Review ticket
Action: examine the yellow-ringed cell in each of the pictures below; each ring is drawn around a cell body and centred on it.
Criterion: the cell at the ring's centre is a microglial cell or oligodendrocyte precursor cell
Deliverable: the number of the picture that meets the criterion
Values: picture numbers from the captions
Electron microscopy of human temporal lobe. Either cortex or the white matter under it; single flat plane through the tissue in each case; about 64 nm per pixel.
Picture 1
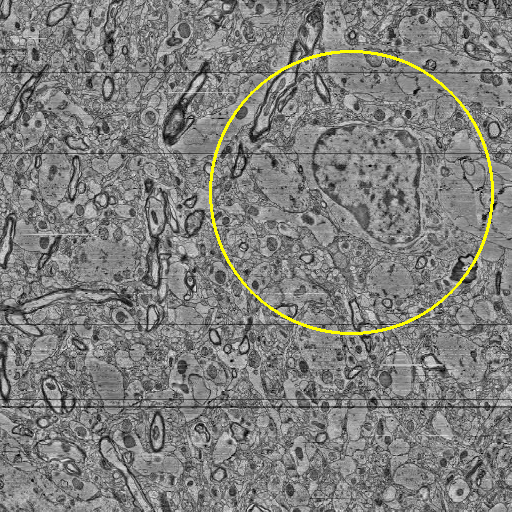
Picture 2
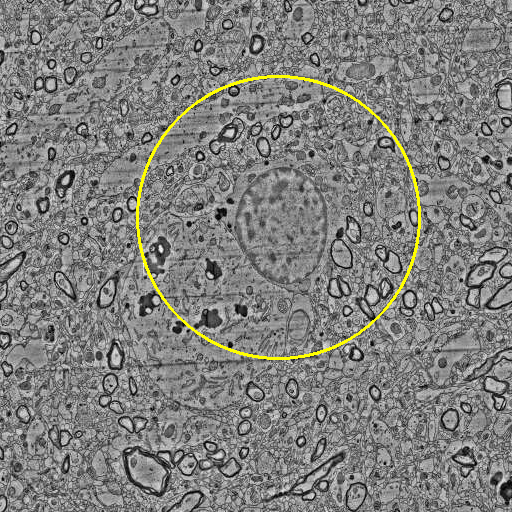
1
